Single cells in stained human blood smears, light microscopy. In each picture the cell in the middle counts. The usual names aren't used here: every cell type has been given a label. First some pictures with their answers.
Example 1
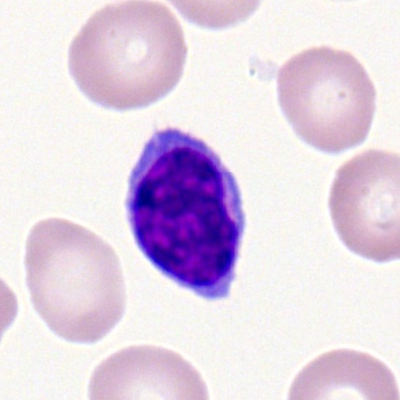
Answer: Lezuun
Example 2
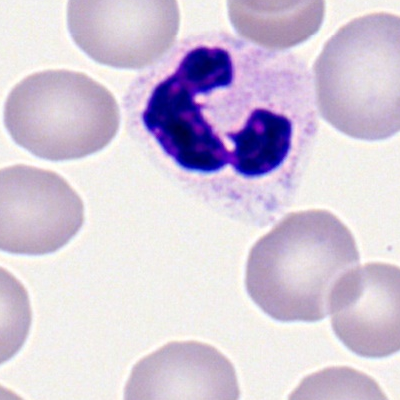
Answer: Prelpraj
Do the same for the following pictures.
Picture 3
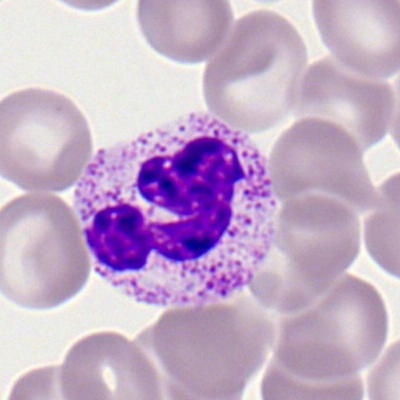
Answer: Prelpraj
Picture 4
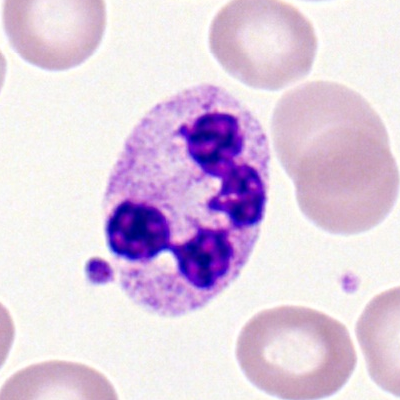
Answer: Prelpraj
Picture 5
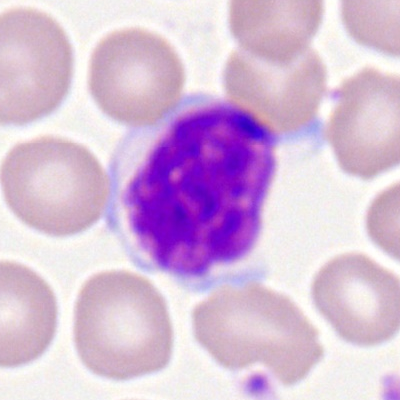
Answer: Lezuun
